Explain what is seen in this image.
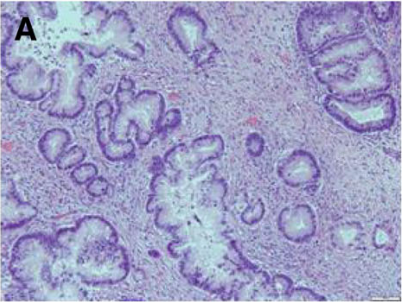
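Gland forming adenocarcinoma with irregular, variably sized and branching glands lined by a single to stratified layer of columnar cells with purple elongated nuclei. Some glands are dilated with papillary infoldings and pale luminal contents. The glands lie in a cellular pink stroma with scattered small vessels.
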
